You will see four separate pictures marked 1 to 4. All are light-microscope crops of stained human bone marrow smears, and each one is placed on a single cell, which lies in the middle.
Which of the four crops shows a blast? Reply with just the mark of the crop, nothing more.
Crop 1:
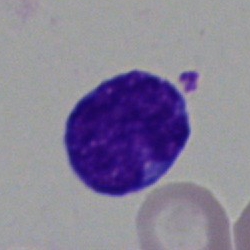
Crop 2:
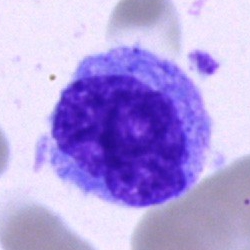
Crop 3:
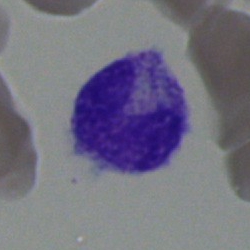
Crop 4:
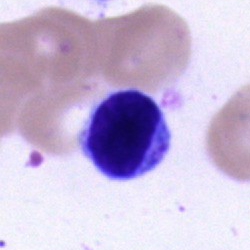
1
